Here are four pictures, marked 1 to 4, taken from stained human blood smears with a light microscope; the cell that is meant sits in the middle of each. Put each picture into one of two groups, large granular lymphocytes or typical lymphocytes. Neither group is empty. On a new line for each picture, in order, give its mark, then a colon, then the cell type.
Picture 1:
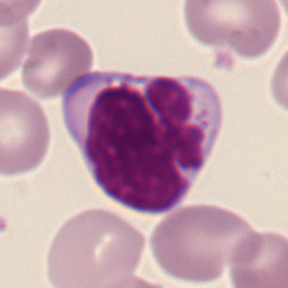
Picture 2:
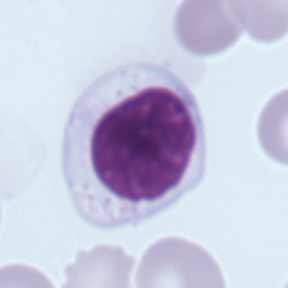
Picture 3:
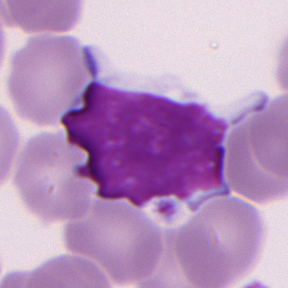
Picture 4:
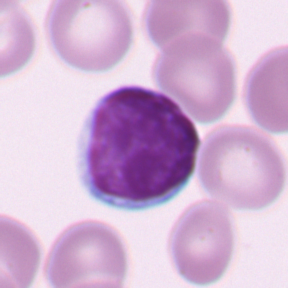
1: large granular lymphocyte
2: large granular lymphocyte
3: typical lymphocyte
4: typical lymphocyte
